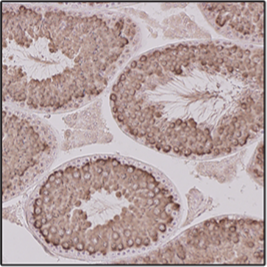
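Cross-sections of seminiferous tubules of the testis, separated by pale interstitial spaces. The cells are tightly packed from the thin basal edge toward the centre. The central lumina are open, and in some of them fine thread-like tails stream together into the middle. The tubules are rounded and of similar size, and the spaces between them contain sparse, lightly stained tissue.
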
